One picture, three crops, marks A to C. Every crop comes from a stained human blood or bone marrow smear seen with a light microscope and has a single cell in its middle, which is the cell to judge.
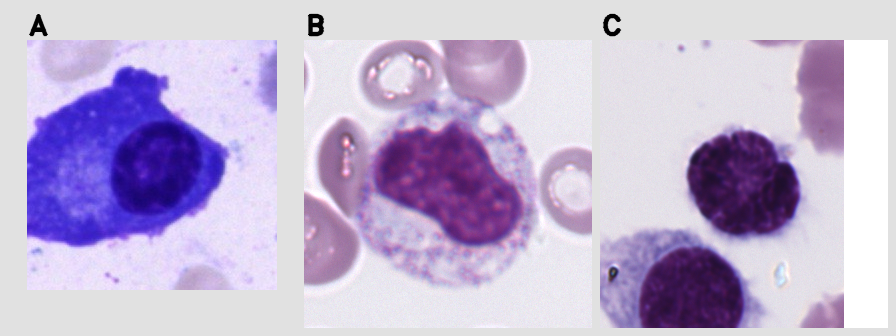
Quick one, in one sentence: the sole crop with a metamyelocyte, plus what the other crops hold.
The cell occupying crop B is a metamyelocyte, whereas crop A is a plasma cell and crop C is a hairy cell.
